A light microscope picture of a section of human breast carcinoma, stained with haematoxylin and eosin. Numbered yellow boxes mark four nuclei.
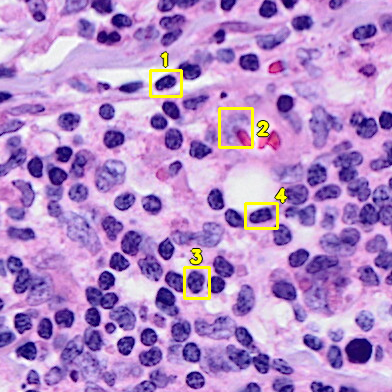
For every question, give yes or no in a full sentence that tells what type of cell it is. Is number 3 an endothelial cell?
No, cell 3 is identified not as an endothelial cell but as a lymphocyte.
